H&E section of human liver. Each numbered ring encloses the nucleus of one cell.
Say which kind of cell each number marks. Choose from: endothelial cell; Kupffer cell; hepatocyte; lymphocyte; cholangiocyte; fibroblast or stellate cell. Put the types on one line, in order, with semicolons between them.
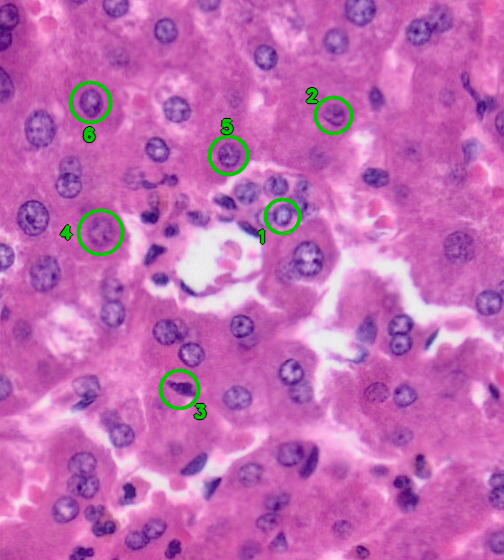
cholangiocyte; hepatocyte; fibroblast or stellate cell; hepatocyte; hepatocyte; hepatocyte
